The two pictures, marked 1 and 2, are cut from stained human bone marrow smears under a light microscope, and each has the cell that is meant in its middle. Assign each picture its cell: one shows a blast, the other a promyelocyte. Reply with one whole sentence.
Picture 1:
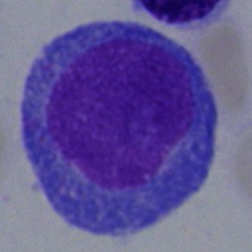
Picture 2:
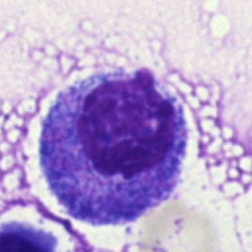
Picture 1 shows a blast and picture 2 shows a promyelocyte.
